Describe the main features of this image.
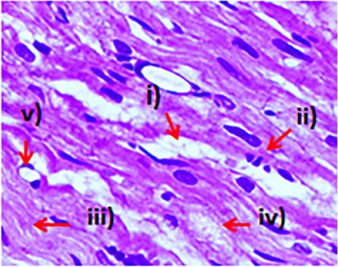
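Longitudinally cut cardiac muscle fibres stain pink, with elongated purple nuclei, but the fibres are separated by pale, clear spaces of edema between them. Small, round, dark nuclei of inflammatory cells lie between the fibres, and round clear vacuoles appear within the tissue. Some areas of the fibres look pale and frayed rather than evenly pink.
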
